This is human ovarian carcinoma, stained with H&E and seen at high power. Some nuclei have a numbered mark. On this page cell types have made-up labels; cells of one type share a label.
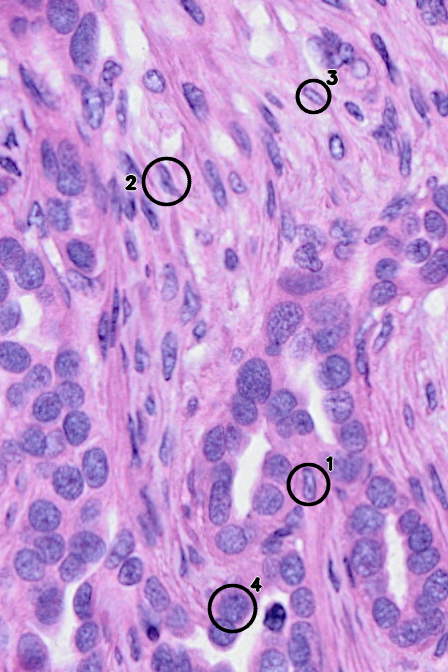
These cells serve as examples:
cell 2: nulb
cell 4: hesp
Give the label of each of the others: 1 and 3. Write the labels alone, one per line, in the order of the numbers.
nulb
nulb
